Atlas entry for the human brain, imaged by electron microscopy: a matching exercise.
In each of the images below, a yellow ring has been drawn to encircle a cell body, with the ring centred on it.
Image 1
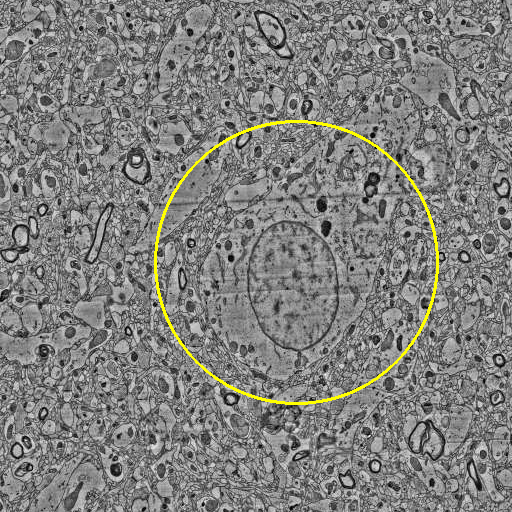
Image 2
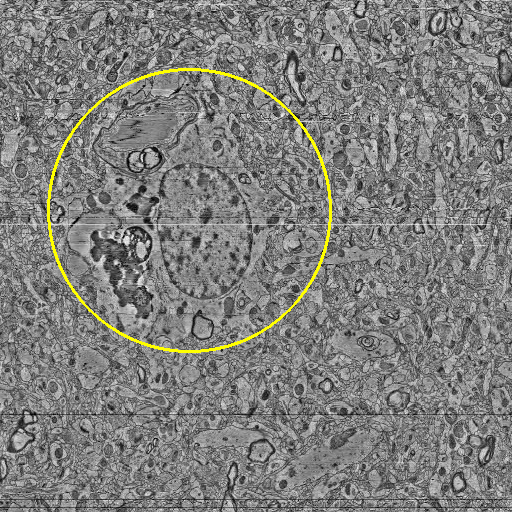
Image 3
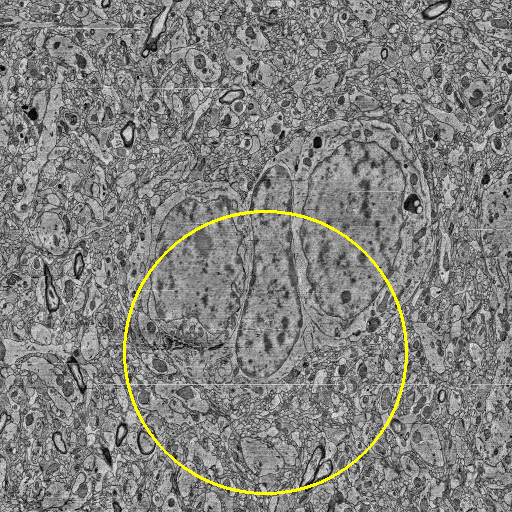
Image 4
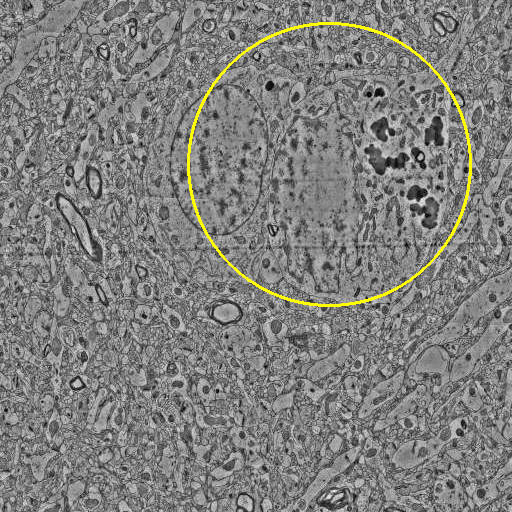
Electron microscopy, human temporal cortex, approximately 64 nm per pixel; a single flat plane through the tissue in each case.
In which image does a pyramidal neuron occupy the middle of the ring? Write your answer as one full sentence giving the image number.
In image 1, the ring is centred on the cell in question.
